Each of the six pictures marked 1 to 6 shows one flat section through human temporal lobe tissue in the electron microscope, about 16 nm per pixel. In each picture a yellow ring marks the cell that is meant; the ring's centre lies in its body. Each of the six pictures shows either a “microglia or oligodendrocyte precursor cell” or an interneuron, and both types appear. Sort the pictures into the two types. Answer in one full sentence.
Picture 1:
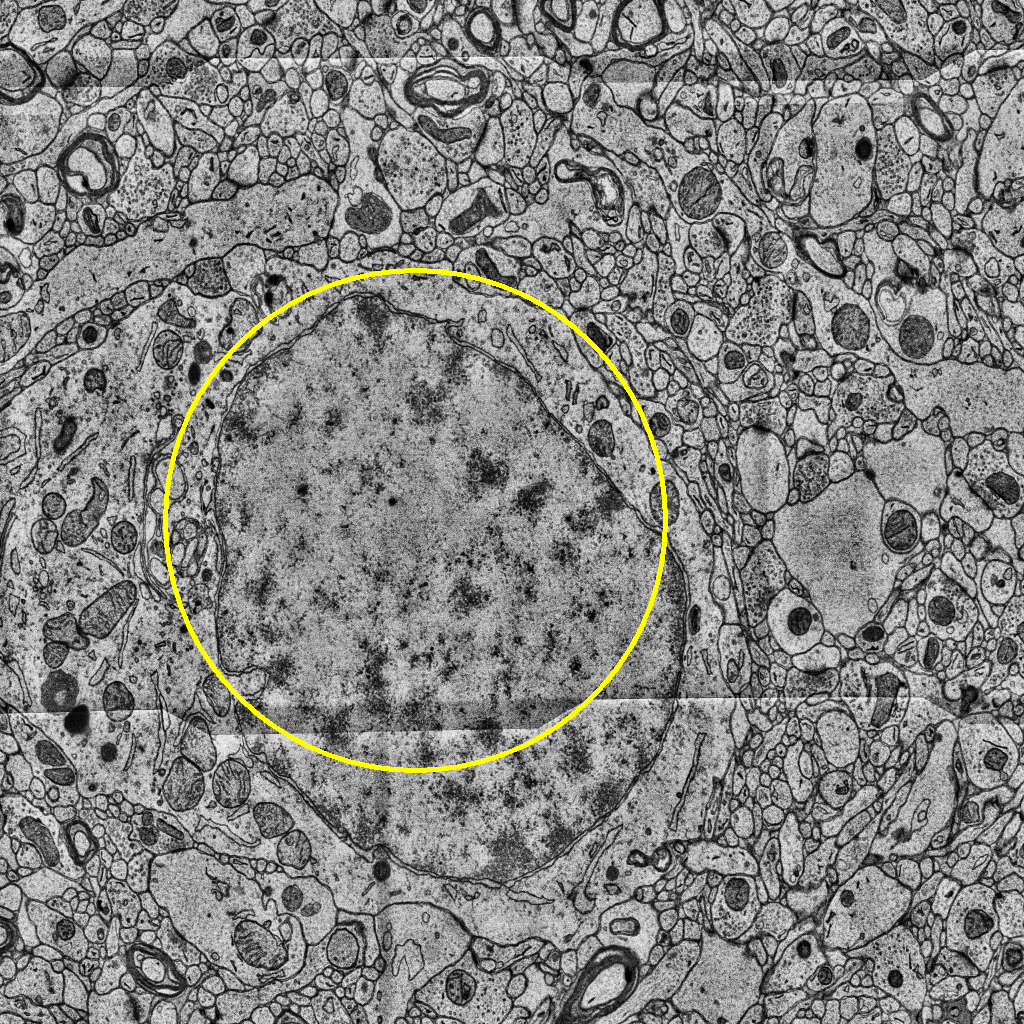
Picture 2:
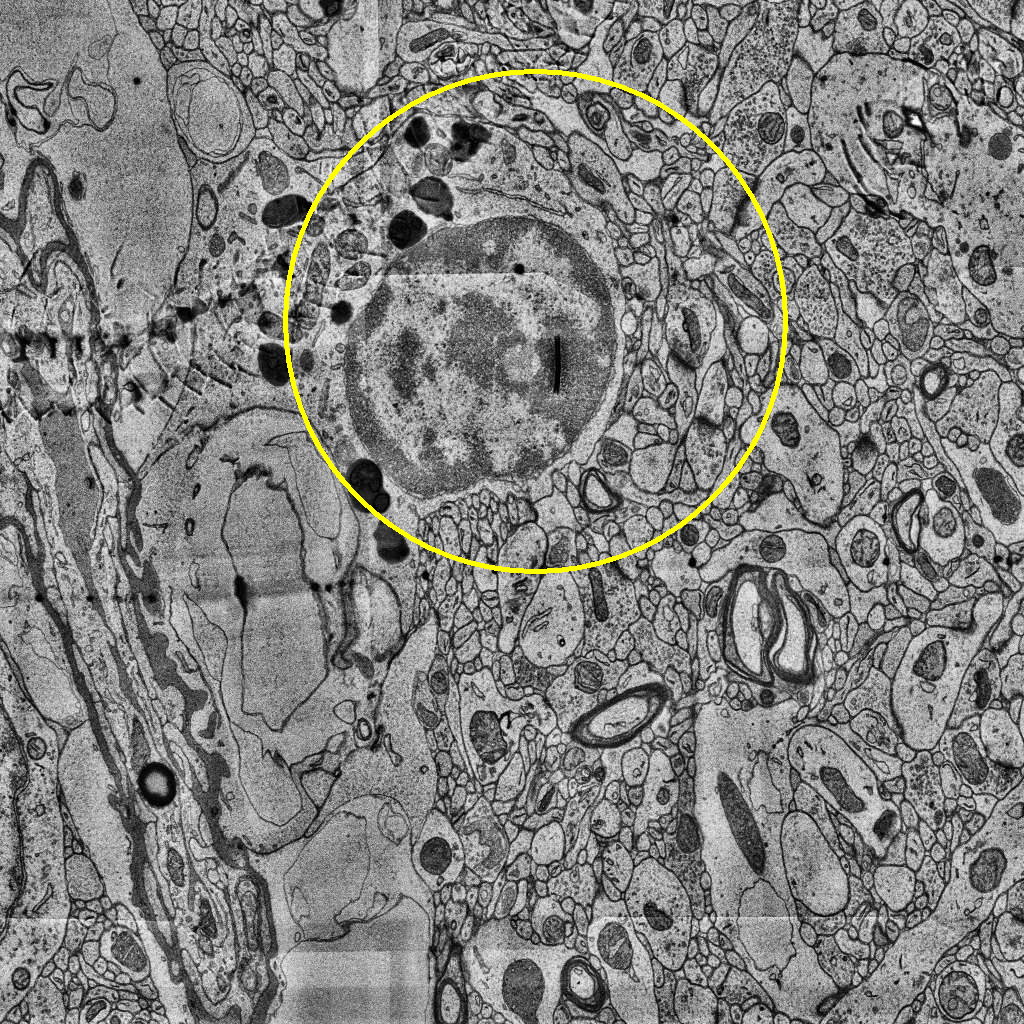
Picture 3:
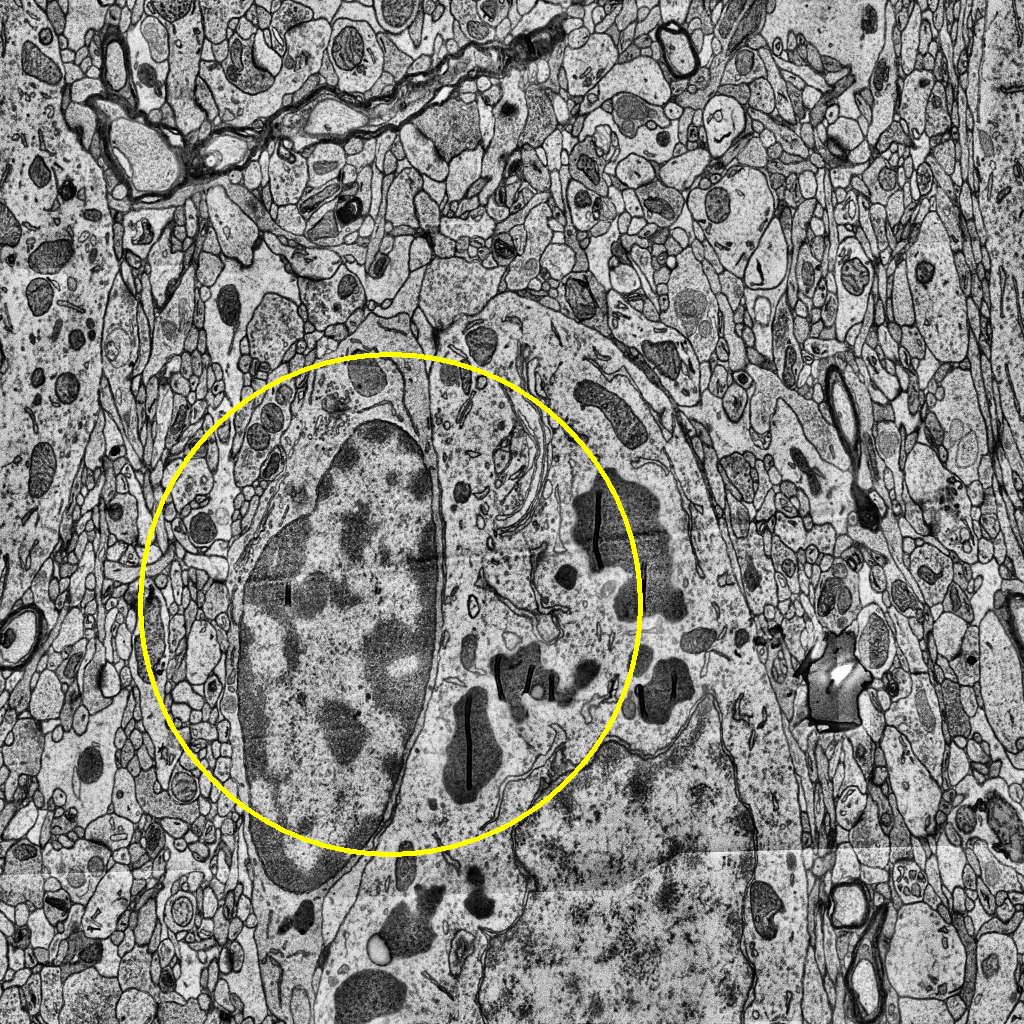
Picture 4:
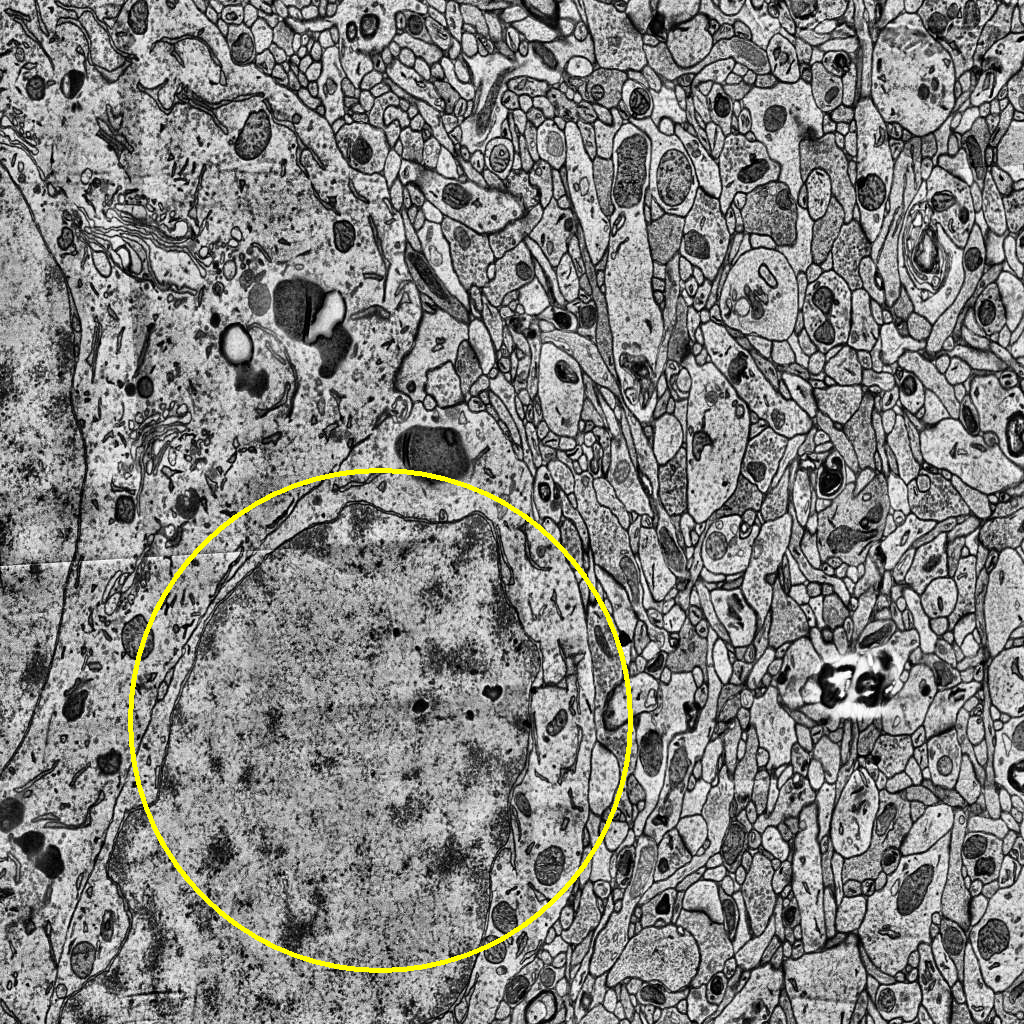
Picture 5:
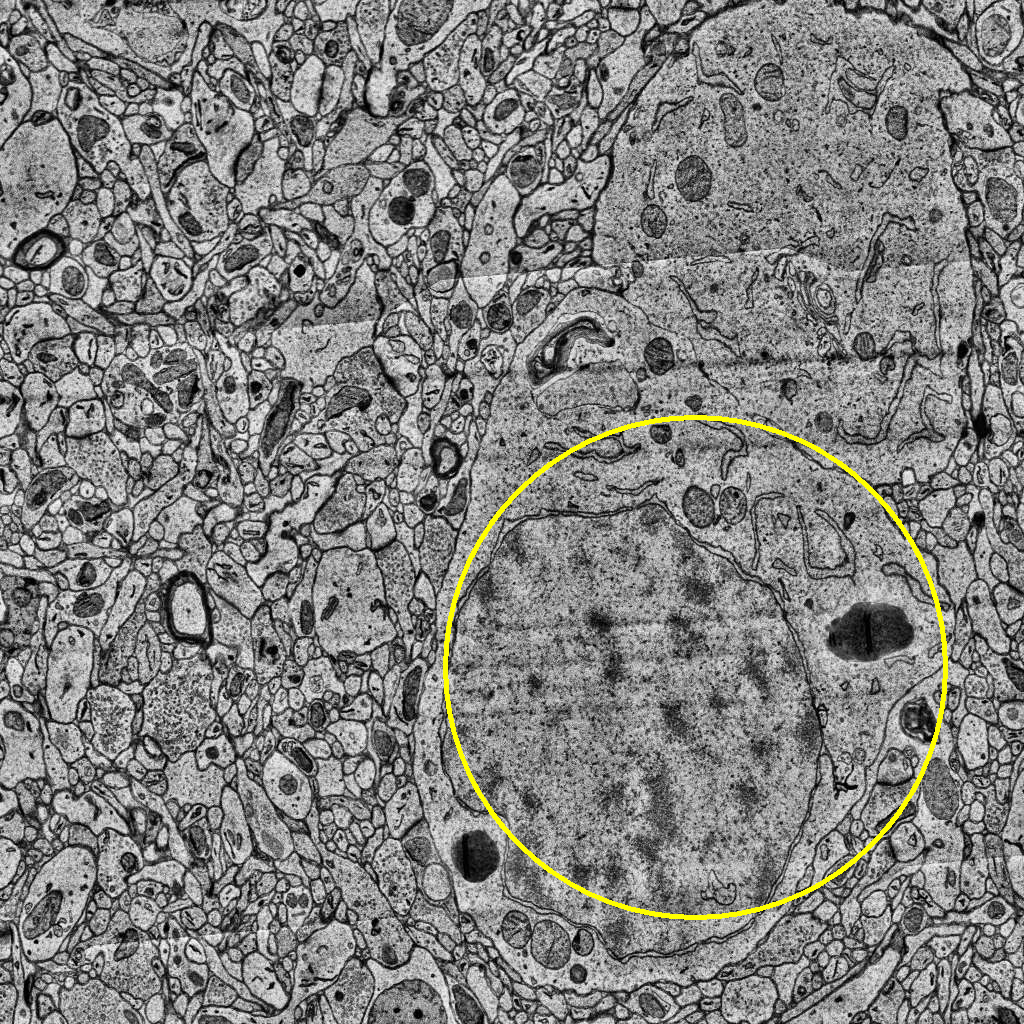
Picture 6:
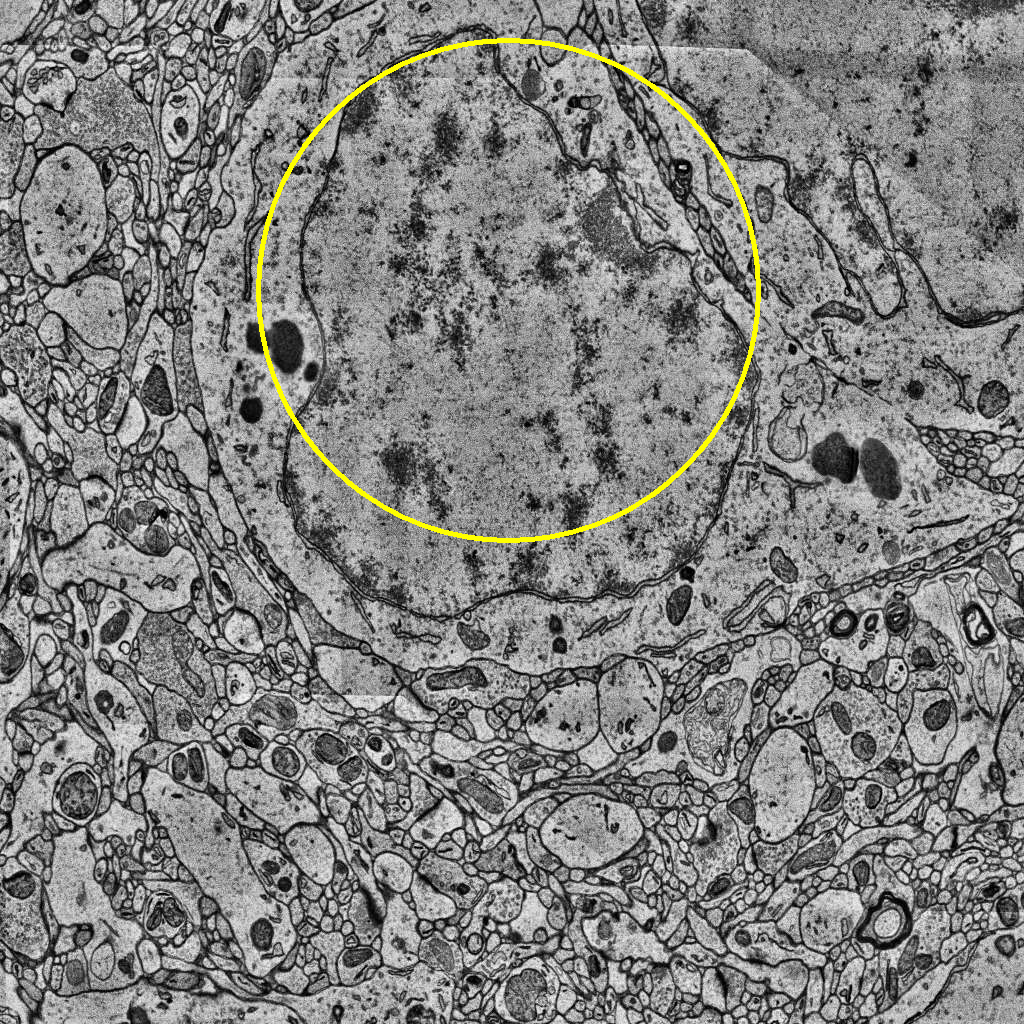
Pictures 2 and 3 show “microglia or oligodendrocyte precursor cells”, and pictures 1, 4, 5 and 6 show interneurons.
